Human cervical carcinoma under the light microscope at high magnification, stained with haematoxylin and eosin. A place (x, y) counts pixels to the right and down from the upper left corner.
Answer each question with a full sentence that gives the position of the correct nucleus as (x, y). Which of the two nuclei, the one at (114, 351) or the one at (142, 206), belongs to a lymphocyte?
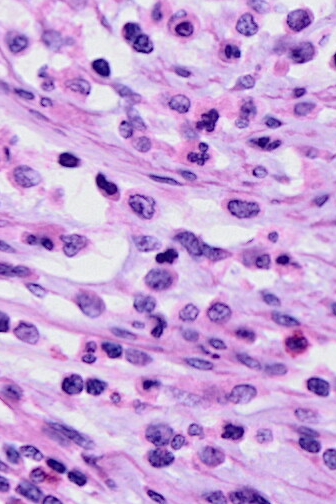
The nucleus of the pair that lies within a lymphocyte is at (114, 351).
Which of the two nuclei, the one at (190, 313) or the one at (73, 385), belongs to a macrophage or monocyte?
Only the nucleus at (190, 313), of the two, belongs to a macrophage or monocyte.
